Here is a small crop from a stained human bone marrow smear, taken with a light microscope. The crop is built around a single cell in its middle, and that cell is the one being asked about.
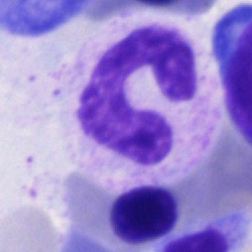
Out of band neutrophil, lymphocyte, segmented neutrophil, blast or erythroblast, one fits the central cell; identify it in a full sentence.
The centered cell in this crop is a band neutrophil.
